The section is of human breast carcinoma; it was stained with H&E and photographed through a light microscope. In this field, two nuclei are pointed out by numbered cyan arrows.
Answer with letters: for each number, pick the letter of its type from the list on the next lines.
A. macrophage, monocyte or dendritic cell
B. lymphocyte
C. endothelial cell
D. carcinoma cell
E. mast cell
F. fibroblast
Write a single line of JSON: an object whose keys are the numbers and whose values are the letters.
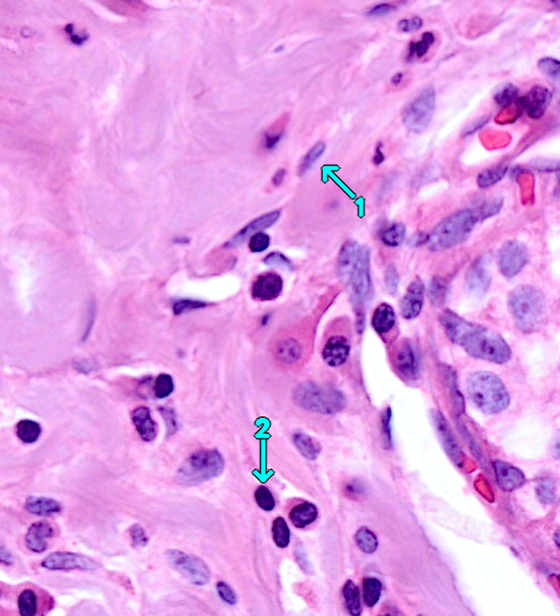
{"1": "F", "2": "B"}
